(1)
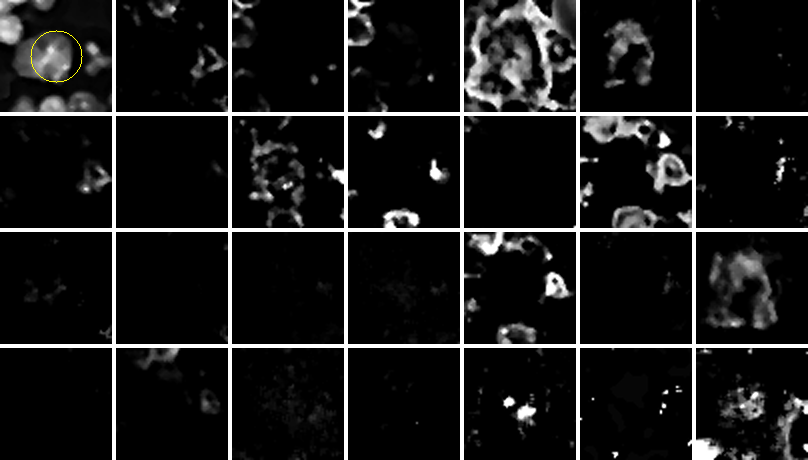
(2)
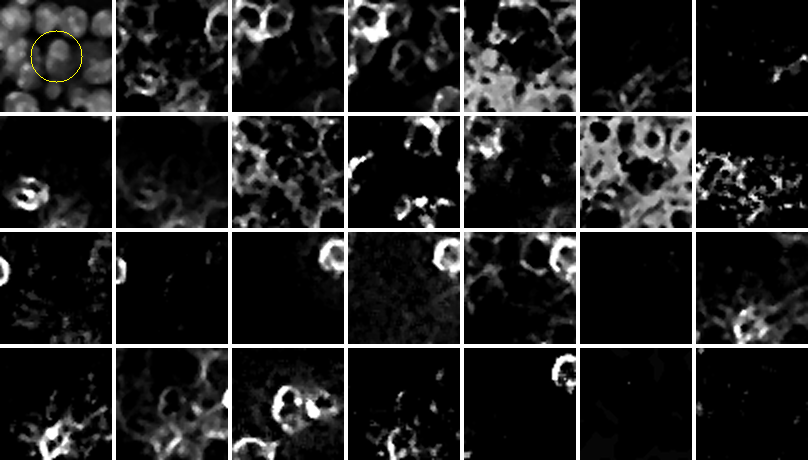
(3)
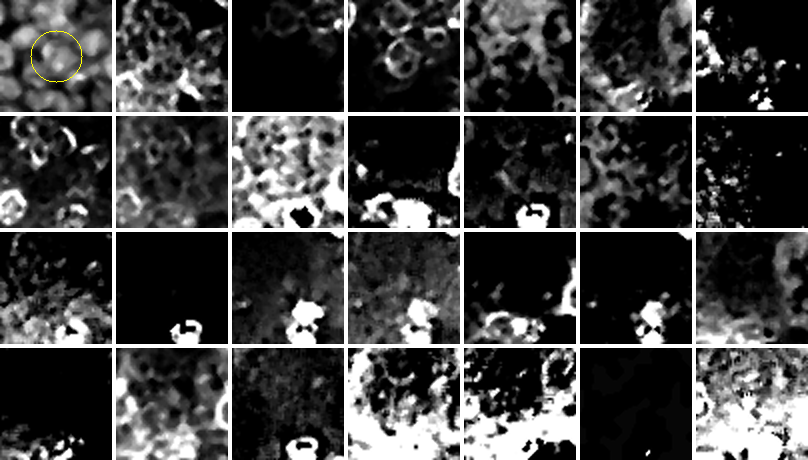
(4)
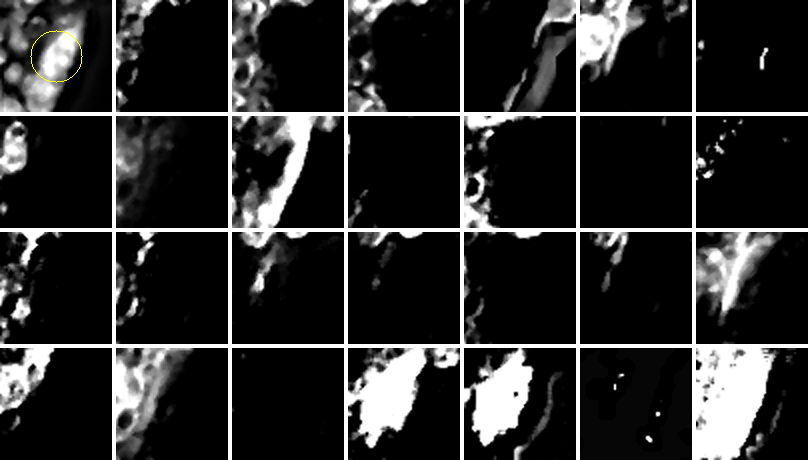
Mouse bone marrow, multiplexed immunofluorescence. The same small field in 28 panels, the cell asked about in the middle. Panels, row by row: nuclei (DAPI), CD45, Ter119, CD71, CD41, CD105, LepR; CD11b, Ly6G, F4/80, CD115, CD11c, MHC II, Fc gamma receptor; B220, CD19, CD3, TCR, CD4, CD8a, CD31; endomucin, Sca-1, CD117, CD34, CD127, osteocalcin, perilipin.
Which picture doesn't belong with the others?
Picture 2.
